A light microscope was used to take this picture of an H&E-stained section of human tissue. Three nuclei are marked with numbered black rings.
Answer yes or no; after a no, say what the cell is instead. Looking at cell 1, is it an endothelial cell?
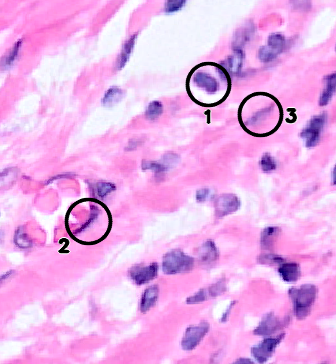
No, it is a lymphocyte.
